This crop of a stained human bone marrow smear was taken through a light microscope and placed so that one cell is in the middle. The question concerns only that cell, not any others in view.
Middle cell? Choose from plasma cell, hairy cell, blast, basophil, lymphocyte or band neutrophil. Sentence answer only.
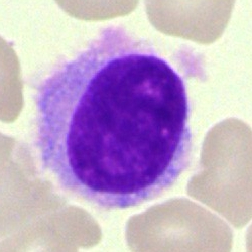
The crop shows a hairy cell in its centre.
